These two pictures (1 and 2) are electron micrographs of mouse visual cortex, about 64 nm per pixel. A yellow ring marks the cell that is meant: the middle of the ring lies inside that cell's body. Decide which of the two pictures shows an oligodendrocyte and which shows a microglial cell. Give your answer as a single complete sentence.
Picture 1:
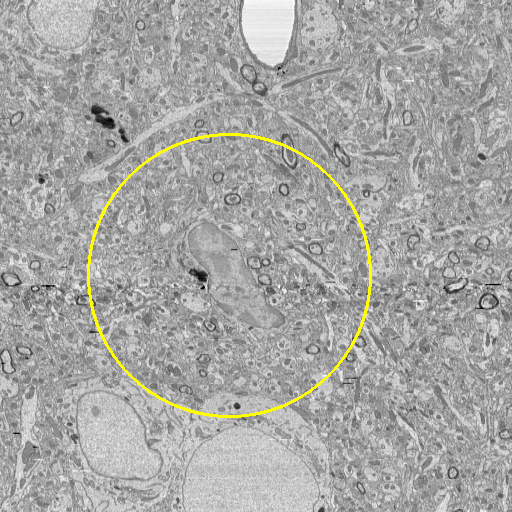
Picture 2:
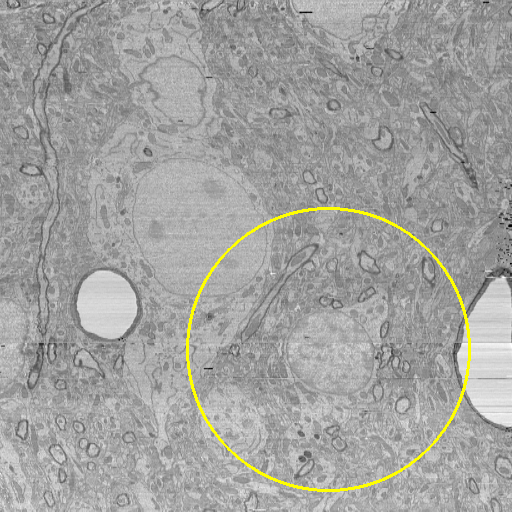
The cell in picture 1 is a microglial cell, and the one in picture 2 is an oligodendrocyte.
